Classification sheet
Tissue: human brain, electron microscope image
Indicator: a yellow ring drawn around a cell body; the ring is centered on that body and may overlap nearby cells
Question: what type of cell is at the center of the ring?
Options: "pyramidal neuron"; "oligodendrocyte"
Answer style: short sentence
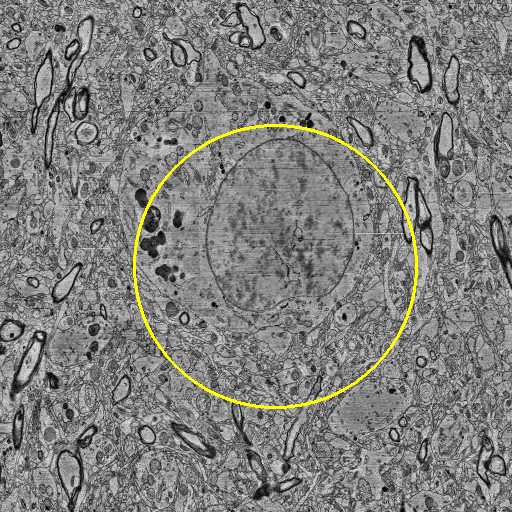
At the ring's center is a pyramidal neuron.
